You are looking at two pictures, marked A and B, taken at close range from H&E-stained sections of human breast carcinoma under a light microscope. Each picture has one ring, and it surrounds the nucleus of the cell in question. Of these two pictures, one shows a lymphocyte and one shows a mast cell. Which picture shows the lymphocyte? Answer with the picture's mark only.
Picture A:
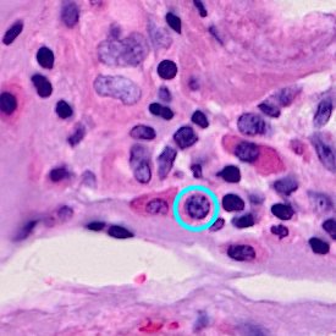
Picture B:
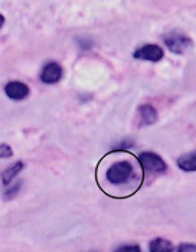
B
